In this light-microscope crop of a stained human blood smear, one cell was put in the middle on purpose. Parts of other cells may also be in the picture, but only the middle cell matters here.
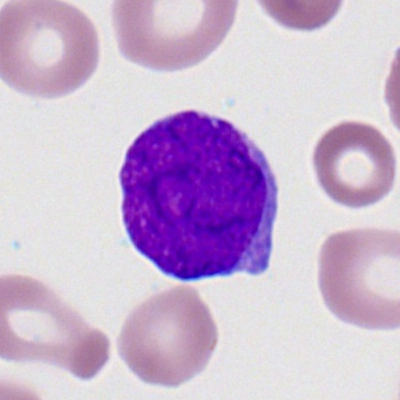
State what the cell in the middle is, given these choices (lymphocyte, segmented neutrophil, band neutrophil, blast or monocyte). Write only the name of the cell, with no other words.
blast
